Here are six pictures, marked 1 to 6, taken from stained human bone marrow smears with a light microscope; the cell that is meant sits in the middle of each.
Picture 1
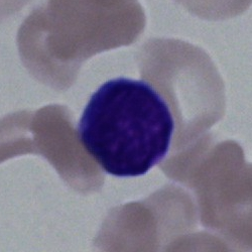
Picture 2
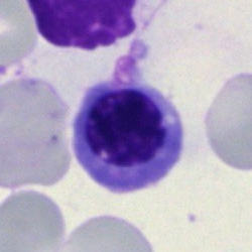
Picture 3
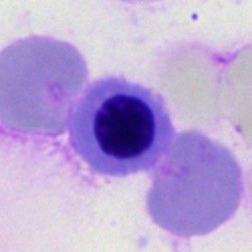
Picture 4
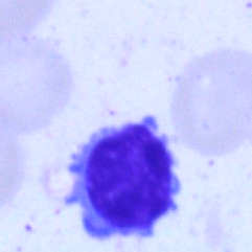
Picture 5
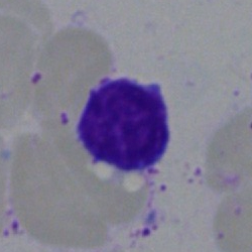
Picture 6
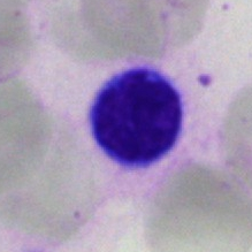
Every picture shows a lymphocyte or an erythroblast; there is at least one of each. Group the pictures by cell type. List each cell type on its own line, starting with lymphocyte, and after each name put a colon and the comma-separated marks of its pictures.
lymphocyte: 1, 4, 5, 6
erythroblast: 2, 3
